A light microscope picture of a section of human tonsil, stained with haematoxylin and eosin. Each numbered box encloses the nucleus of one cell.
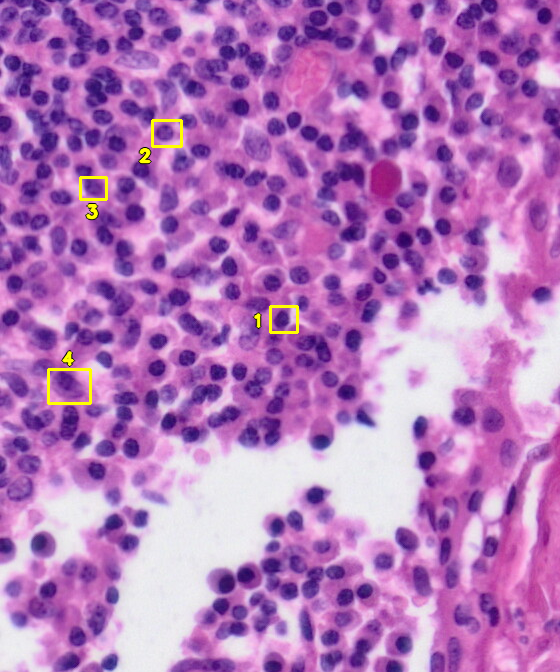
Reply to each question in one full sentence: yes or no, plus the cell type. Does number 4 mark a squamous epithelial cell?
Yes, the cell with its nucleus marked 4 is a squamous epithelial cell.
